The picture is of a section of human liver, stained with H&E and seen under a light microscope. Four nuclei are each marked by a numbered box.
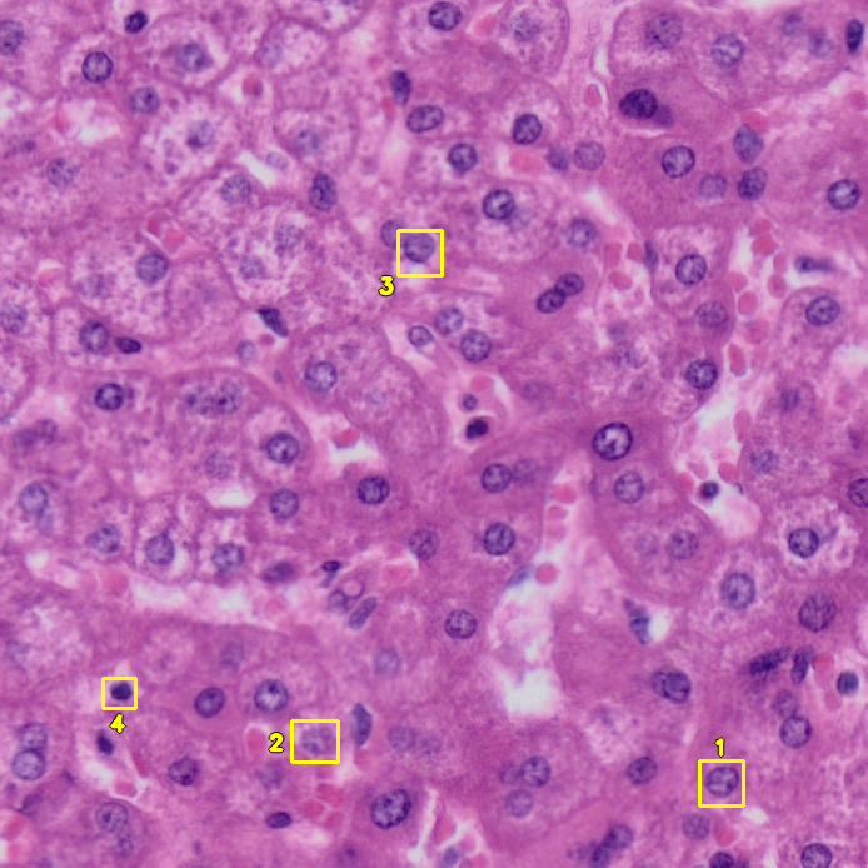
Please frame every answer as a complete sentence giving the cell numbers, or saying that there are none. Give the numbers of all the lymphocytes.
There is just one numbered cell that is a lymphocyte, and it is cell 4.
